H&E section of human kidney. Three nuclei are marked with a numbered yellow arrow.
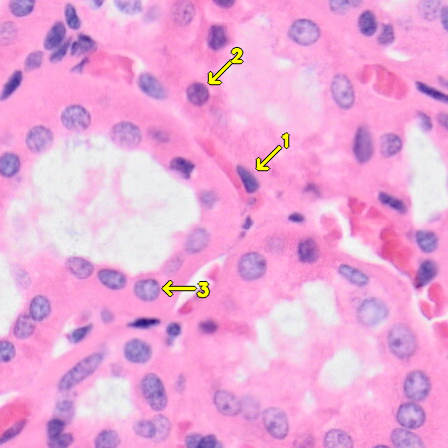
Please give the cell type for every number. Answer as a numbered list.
1. endothelial cell
2. proximal tubule cell
3. loop of Henle or distal tubule cell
